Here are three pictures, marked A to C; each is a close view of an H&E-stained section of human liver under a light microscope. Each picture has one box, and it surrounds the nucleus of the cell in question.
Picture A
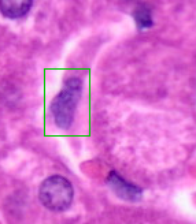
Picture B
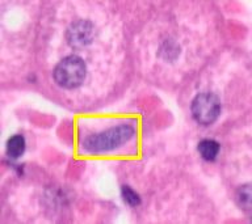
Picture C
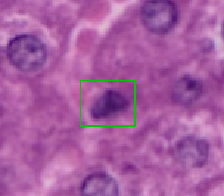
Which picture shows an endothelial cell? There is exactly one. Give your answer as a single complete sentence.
The picture with the endothelial cell is C.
